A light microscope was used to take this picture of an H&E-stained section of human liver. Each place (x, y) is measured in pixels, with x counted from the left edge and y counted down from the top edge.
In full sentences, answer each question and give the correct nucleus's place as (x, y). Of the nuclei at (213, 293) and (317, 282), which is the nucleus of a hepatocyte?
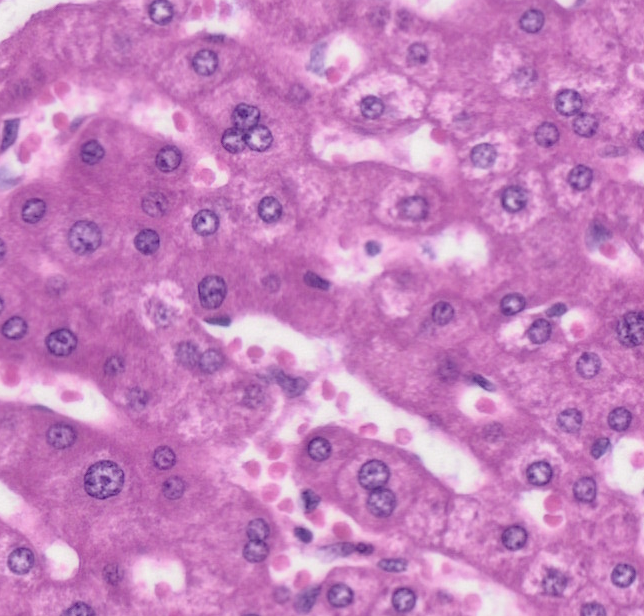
The nucleus at (213, 293) is identified as belonging to a hepatocyte.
